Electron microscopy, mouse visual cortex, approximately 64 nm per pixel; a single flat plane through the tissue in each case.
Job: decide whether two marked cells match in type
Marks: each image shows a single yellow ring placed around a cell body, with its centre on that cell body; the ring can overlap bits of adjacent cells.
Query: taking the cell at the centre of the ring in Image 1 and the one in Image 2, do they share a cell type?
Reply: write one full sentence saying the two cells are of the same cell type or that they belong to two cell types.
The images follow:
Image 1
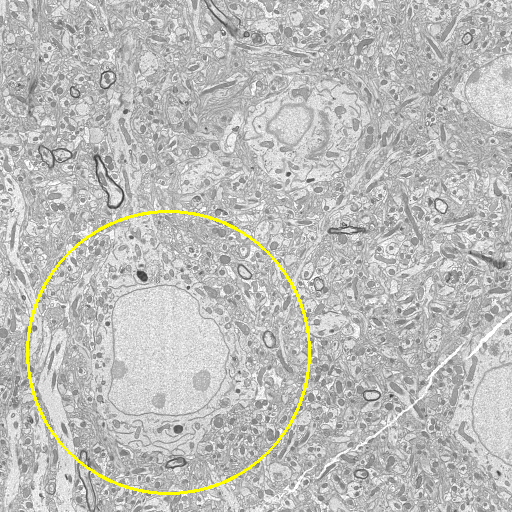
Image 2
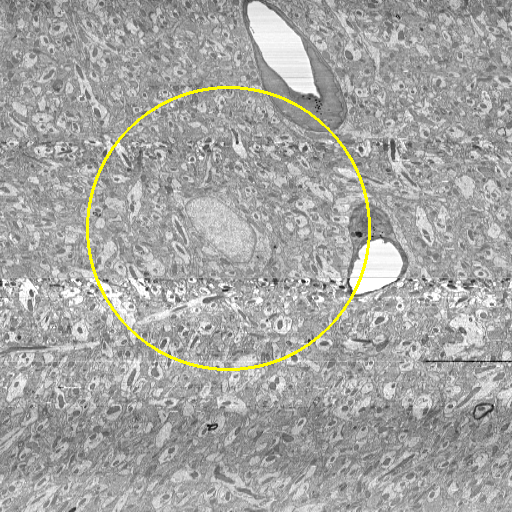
The cells at the ring centres in Image 1 and Image 2 belong to two cell types.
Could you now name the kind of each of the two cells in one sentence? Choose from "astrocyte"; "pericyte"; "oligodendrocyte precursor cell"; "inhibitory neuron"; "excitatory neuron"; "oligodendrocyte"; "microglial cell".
The first ring encloses an excitatory neuron; the second ring encloses an astrocyte.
